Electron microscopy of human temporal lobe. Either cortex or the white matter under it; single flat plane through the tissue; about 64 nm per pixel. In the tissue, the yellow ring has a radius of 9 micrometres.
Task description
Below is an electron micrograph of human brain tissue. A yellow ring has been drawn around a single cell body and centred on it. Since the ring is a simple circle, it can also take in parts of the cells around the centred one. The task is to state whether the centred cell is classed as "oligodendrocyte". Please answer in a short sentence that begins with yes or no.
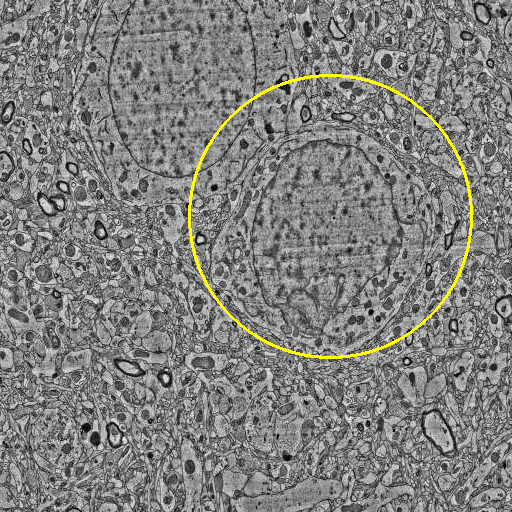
No, the centred cell is classed otherwise.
